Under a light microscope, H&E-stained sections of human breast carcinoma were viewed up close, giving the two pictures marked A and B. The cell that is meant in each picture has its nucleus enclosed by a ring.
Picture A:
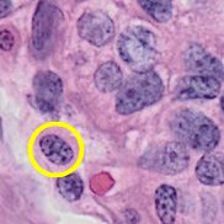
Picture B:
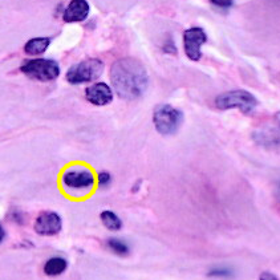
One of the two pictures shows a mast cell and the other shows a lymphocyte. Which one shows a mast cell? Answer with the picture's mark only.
A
